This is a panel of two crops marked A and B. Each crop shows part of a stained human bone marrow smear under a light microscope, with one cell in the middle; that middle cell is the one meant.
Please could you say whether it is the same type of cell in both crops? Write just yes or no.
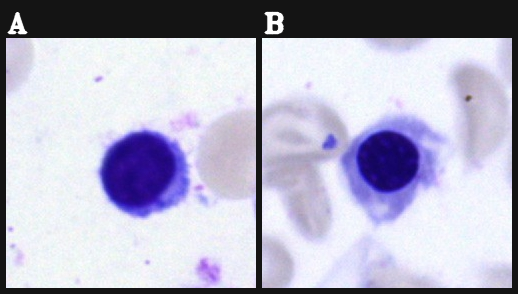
no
